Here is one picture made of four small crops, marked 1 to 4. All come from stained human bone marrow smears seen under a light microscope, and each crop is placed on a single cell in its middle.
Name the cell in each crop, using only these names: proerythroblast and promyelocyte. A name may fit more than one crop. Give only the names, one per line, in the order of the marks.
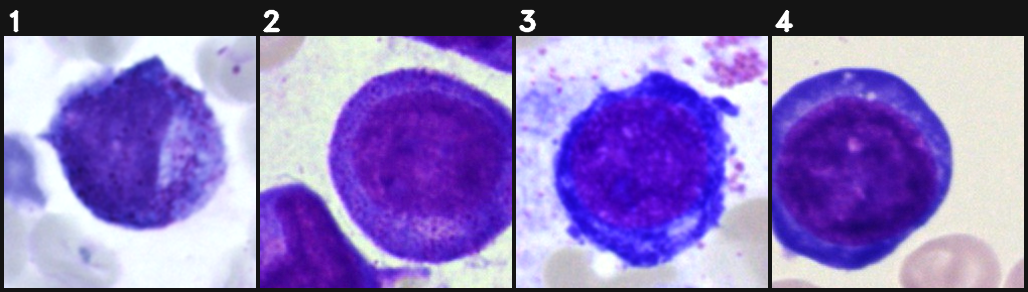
promyelocyte
promyelocyte
proerythroblast
proerythroblast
